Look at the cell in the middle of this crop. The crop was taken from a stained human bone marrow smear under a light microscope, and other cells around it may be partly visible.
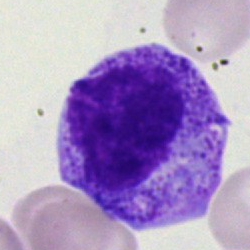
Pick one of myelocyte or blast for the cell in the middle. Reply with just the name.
myelocyte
